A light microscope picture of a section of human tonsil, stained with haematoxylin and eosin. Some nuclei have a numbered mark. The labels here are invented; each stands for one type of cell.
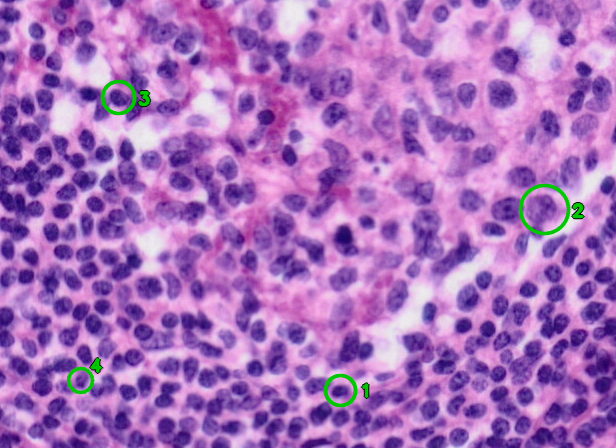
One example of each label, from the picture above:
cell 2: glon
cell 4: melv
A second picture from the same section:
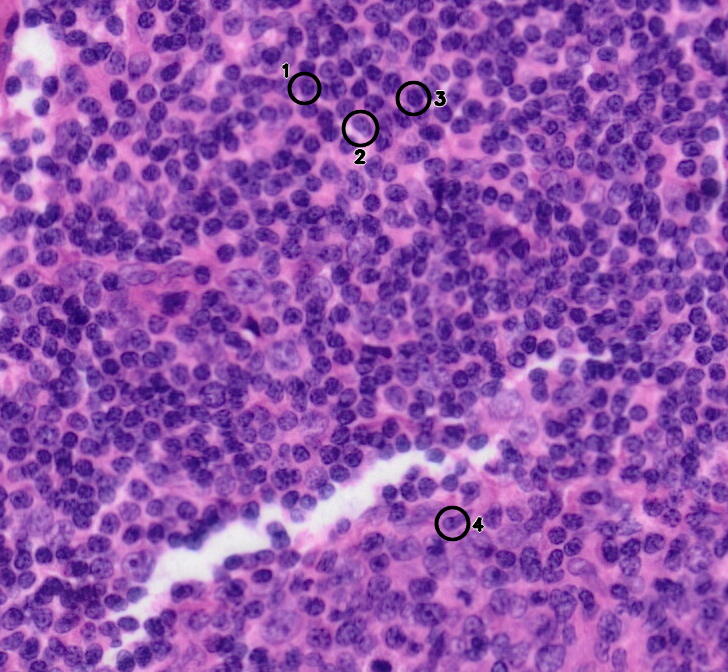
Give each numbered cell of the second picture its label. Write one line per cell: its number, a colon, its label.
1: melv
2: melv
3: melv
4: glon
